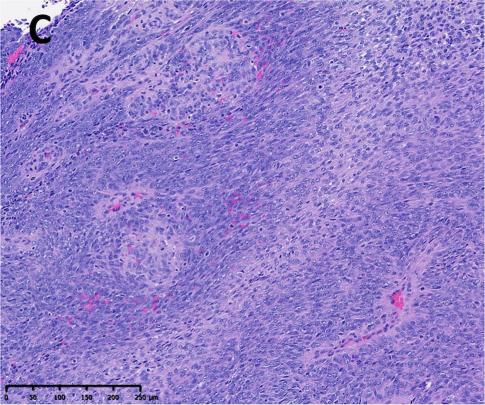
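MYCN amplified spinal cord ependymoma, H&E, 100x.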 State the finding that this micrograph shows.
vascular proliferation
